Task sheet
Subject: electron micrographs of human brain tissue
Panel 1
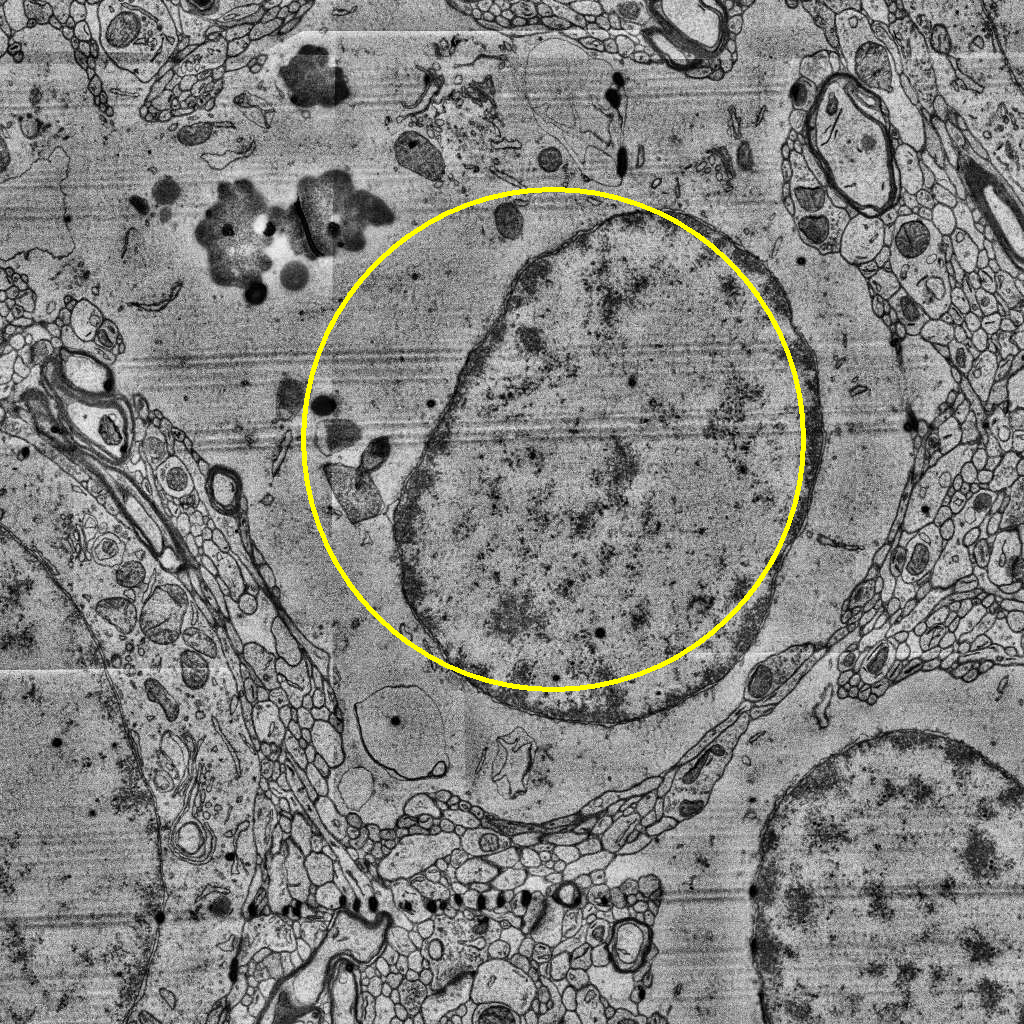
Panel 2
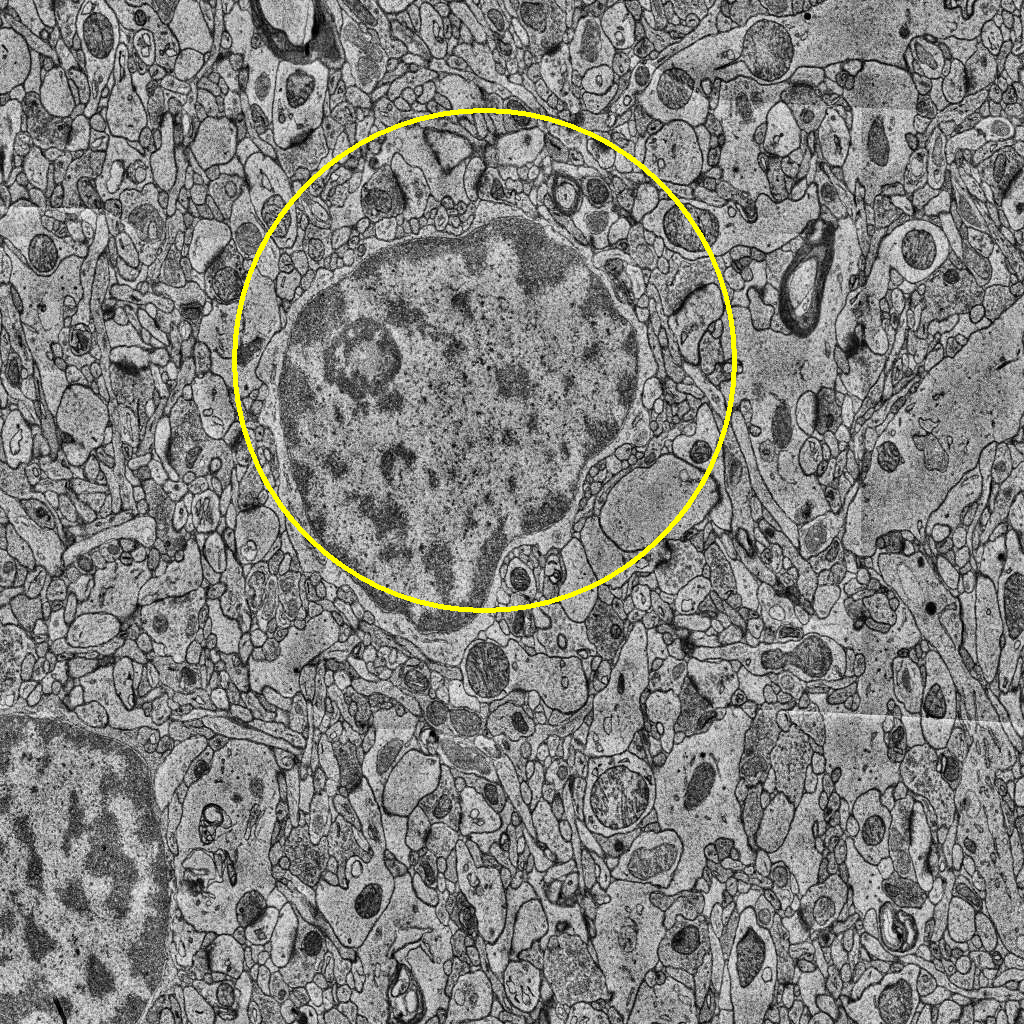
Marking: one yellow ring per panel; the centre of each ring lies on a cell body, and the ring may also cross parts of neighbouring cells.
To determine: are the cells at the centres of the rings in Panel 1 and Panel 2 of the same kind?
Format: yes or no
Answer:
no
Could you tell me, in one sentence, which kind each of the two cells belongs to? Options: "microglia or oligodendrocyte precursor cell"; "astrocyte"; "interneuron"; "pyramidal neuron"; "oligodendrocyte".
The second cell is a microglial cell or oligodendrocyte precursor cell, and the first cell is an astrocyte.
